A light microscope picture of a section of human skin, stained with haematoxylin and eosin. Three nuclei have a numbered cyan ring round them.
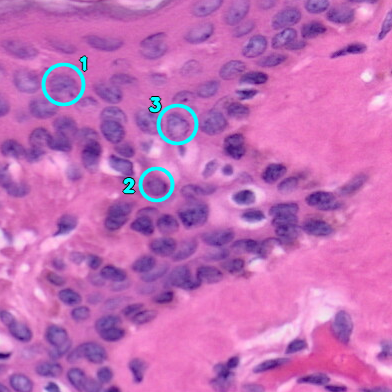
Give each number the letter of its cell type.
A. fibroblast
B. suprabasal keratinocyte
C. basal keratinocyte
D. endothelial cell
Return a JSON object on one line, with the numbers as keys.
{"1": "B", "2": "C", "3": "B"}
